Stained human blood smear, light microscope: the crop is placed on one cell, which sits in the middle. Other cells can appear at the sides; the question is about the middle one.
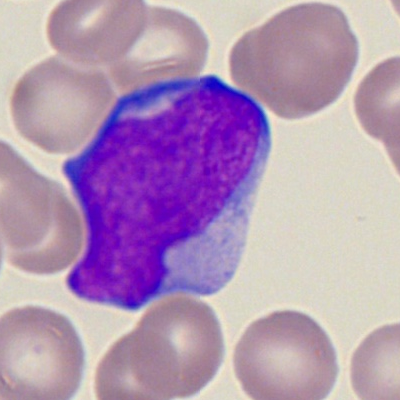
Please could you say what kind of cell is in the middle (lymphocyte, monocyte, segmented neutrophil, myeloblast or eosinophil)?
myeloblast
